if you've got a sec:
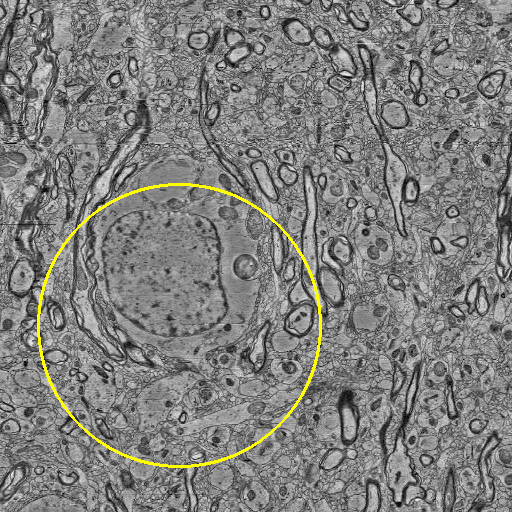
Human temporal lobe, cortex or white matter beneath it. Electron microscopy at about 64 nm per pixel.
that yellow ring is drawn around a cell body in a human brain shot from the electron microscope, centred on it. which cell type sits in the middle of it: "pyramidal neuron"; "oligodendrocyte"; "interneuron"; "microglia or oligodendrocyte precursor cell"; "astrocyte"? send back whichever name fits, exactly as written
astrocyte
